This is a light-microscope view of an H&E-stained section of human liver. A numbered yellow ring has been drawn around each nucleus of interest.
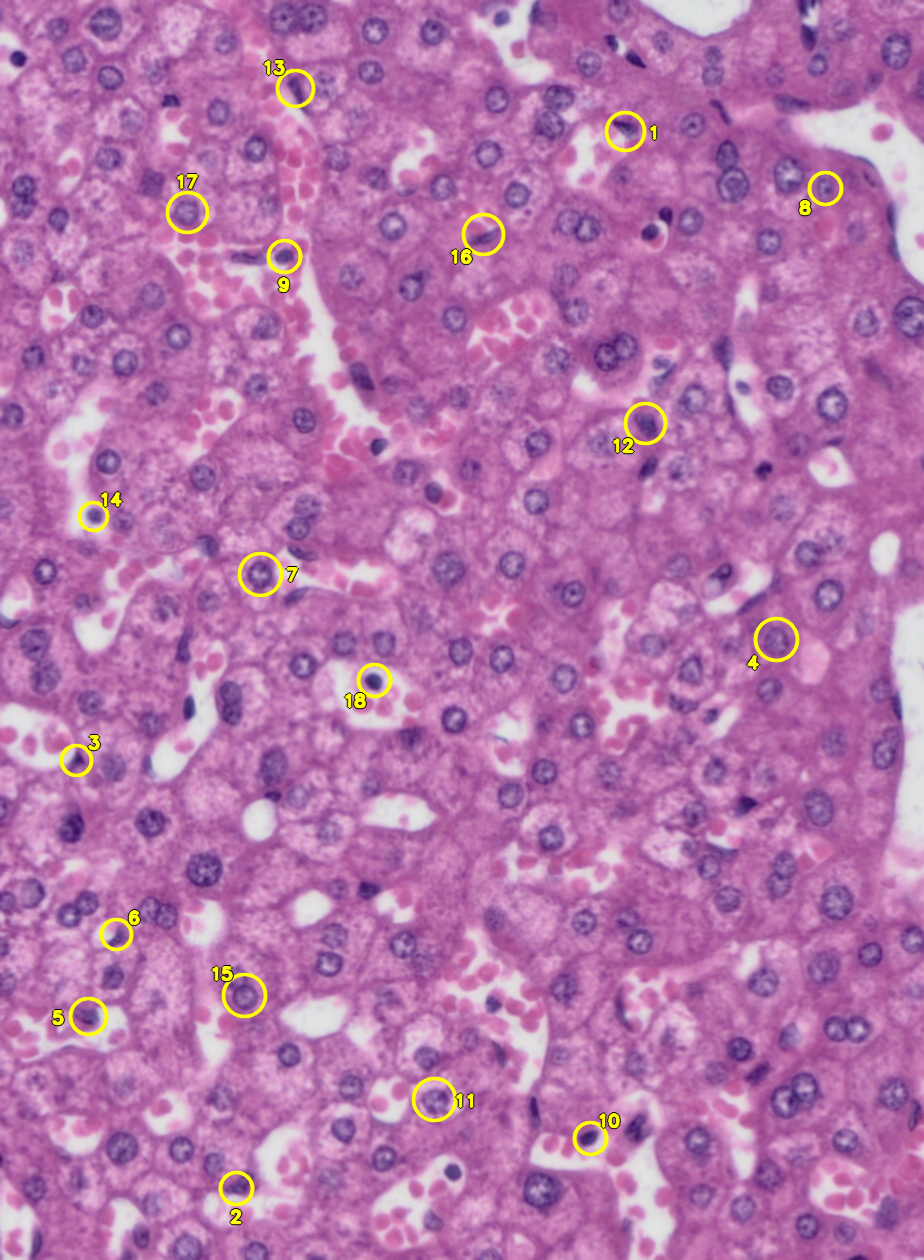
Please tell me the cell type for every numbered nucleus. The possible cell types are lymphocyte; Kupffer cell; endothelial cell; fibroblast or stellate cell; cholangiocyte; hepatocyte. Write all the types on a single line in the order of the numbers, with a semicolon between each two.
endothelial cell; Kupffer cell; fibroblast or stellate cell; hepatocyte; Kupffer cell; endothelial cell; hepatocyte; cholangiocyte; lymphocyte; lymphocyte; hepatocyte; fibroblast or stellate cell; fibroblast or stellate cell; lymphocyte; hepatocyte; endothelial cell; hepatocyte; lymphocyte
